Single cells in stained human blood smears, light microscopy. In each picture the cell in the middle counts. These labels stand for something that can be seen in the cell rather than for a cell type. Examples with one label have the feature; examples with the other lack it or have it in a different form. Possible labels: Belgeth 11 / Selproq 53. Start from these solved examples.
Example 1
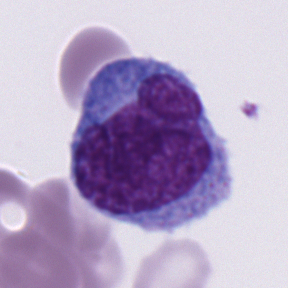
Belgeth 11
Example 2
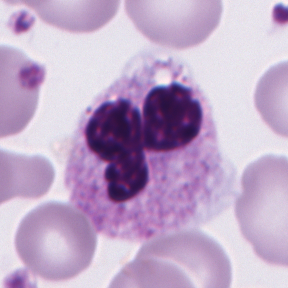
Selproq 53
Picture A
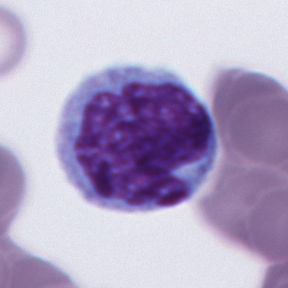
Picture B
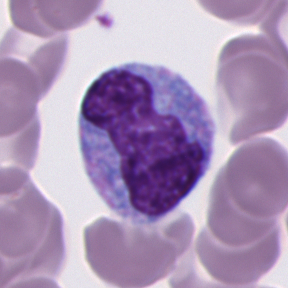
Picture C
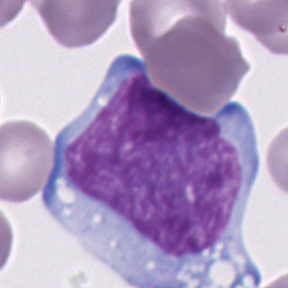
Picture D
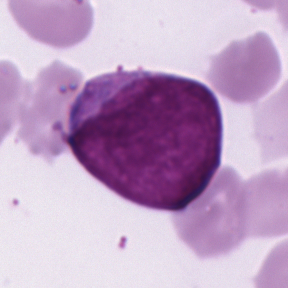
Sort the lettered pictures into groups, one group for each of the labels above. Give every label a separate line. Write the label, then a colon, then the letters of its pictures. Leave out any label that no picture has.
Belgeth 11: A, B, D
Selproq 53: C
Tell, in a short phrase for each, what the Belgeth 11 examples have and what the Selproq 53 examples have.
In Belgeth 11: no vacuoles. In Selproq 53: vacuoles present.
